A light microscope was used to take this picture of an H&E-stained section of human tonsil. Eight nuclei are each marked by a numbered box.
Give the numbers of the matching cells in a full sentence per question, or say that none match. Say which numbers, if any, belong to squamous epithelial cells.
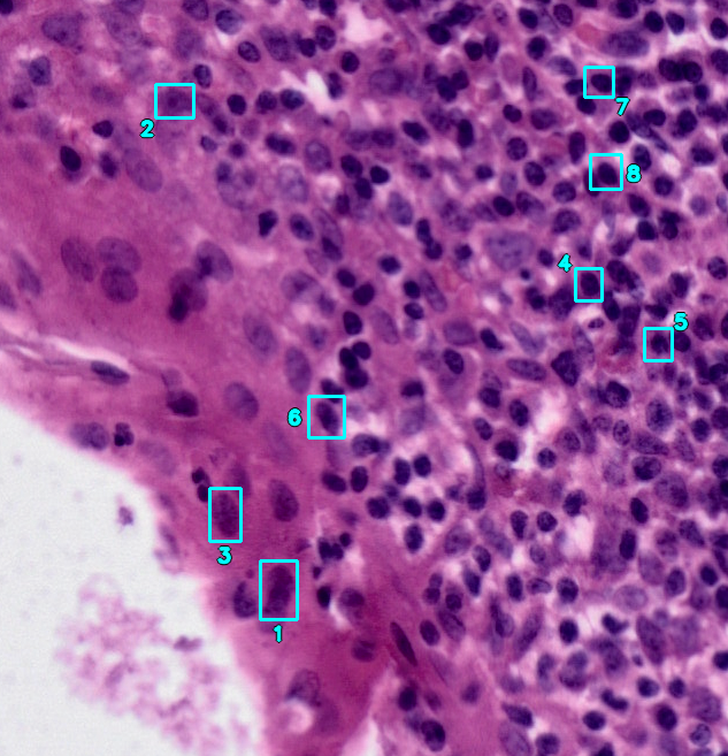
The numbers 1, 2, 3 and 6 refer to cells that are squamous epithelial cells.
